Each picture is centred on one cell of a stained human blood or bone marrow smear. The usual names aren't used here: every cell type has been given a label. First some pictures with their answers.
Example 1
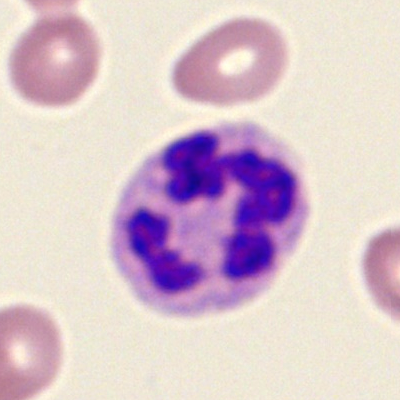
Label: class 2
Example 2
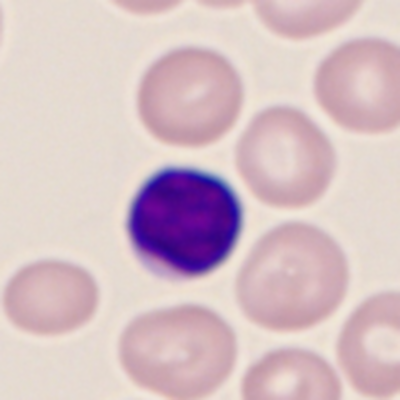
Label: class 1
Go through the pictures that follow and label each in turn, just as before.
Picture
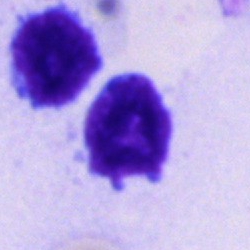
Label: class 1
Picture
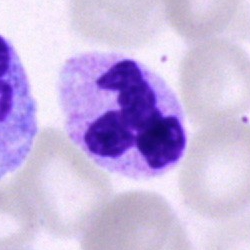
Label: class 2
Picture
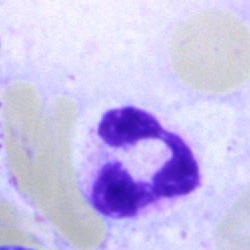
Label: class 2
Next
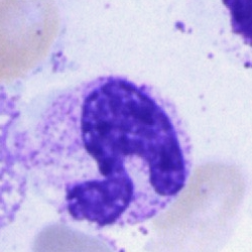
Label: class 2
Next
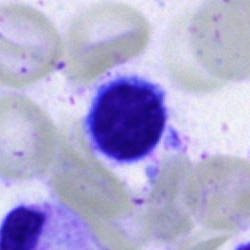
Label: class 1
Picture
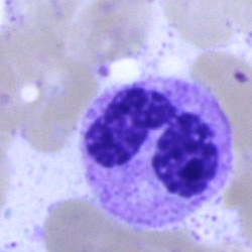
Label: class 2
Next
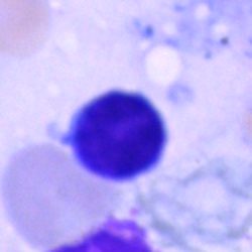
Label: class 1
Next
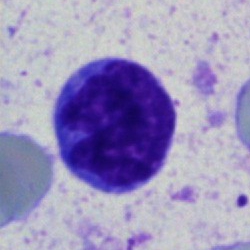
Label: class 1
